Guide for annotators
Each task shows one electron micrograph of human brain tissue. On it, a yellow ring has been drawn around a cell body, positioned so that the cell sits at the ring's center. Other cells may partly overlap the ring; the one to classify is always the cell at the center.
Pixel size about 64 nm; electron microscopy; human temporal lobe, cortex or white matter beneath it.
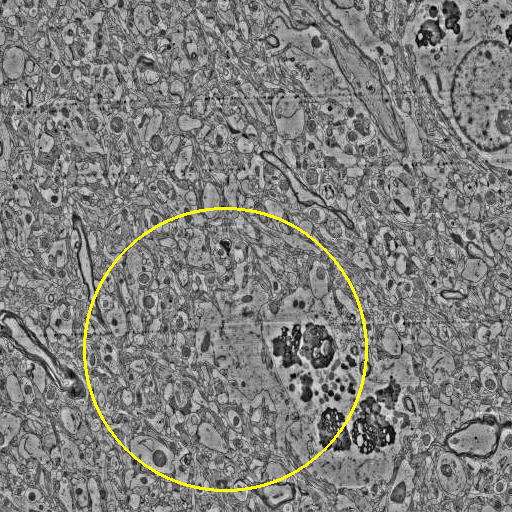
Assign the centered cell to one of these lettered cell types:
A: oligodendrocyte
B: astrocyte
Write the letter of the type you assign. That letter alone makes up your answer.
B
